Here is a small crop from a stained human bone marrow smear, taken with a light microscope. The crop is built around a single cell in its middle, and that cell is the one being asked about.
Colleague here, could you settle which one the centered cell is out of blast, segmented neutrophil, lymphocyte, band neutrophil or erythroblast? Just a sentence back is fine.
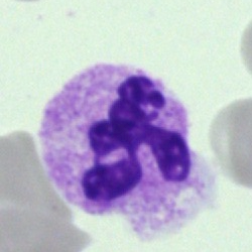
At the middle of the frame sits a segmented neutrophil.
